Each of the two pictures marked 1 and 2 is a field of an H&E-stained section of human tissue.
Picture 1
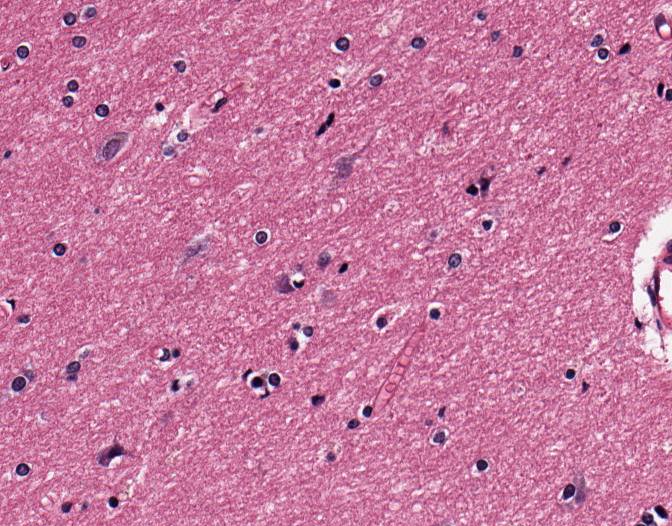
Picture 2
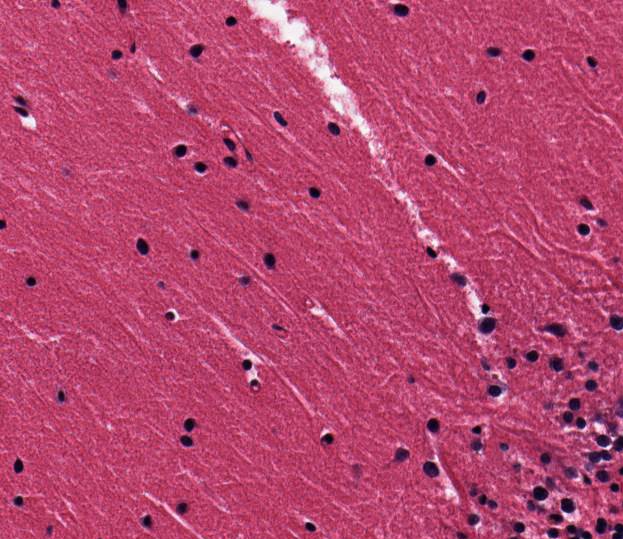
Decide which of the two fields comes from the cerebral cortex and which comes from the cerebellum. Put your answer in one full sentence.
Picture 1 comes from the cerebral cortex; picture 2 comes from the cerebellum.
